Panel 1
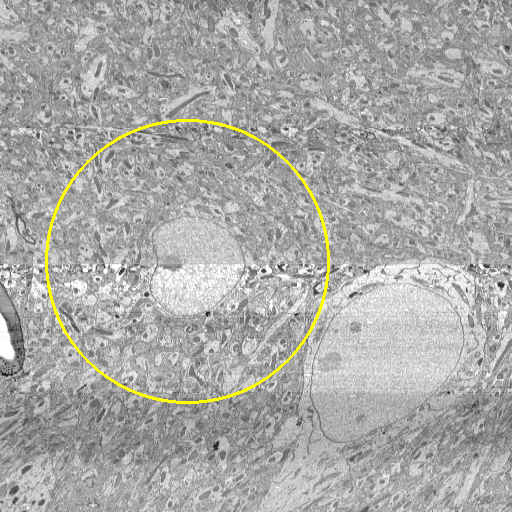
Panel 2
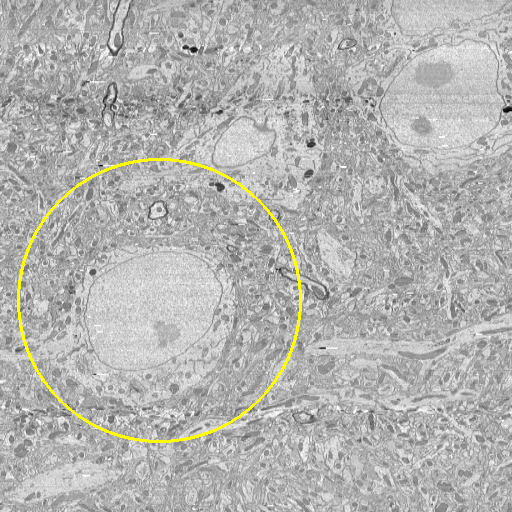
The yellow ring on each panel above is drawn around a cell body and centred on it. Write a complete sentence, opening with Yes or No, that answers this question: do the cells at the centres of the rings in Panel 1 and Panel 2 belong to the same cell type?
No, the two cells belong to two cell types.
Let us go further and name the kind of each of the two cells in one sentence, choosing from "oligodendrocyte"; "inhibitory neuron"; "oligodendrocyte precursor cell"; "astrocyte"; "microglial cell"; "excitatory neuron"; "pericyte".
The ring of the first picture is on an astrocyte, the ring of the second on an excitatory neuron.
